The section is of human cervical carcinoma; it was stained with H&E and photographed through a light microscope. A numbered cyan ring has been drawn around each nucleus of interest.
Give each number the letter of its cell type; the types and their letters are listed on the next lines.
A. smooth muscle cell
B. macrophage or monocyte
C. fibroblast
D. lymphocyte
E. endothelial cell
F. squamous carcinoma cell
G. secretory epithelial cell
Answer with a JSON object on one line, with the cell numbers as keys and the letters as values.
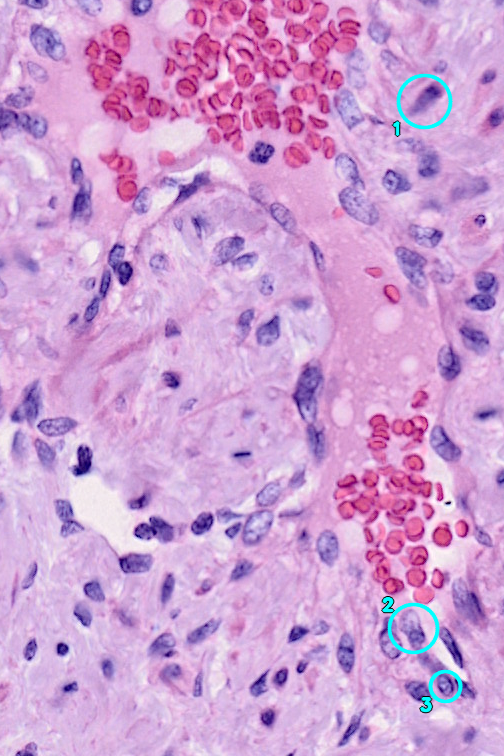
{"1": "A", "2": "E", "3": "E"}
